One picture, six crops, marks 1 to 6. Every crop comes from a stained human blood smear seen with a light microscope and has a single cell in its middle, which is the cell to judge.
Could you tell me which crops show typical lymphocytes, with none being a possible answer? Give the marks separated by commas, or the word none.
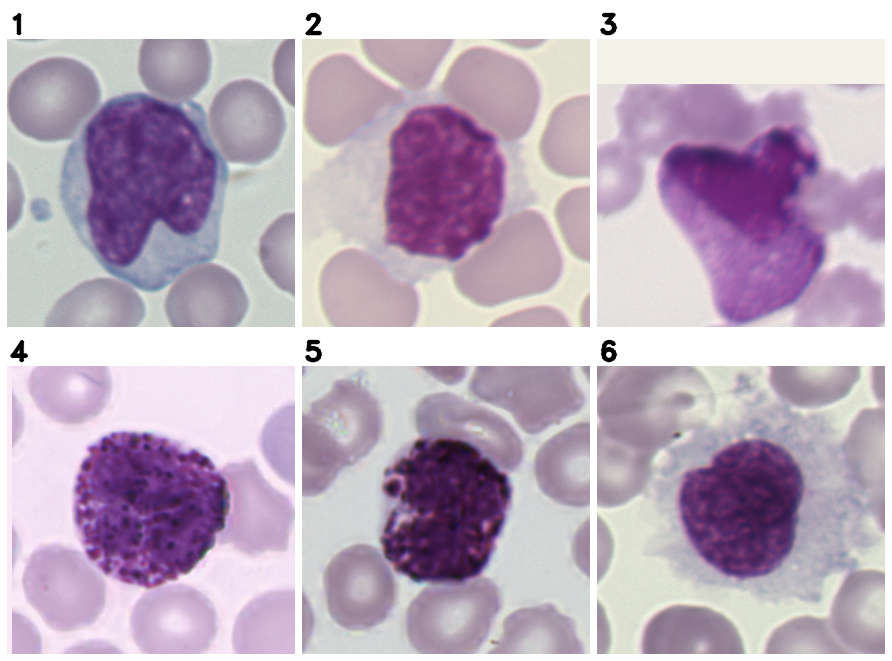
none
